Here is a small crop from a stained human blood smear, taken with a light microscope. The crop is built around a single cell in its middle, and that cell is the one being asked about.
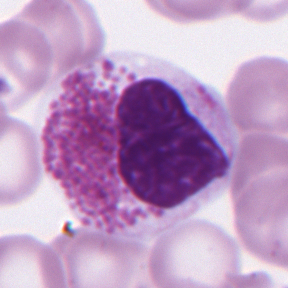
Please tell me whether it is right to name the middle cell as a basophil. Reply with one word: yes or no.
no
